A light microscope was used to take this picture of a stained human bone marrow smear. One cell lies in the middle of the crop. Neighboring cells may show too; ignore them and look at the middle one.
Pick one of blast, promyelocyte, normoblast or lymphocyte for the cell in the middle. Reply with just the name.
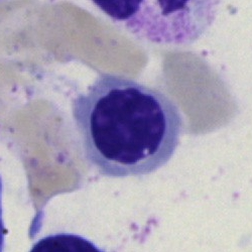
normoblast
